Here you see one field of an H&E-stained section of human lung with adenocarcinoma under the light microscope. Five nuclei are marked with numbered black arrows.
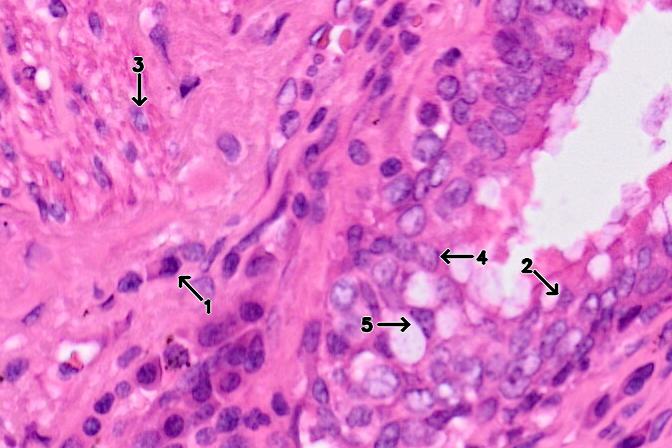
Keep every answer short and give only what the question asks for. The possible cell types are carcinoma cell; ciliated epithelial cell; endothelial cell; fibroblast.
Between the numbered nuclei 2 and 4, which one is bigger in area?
4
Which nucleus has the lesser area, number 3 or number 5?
3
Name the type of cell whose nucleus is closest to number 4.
ciliated epithelial cell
